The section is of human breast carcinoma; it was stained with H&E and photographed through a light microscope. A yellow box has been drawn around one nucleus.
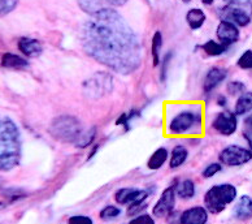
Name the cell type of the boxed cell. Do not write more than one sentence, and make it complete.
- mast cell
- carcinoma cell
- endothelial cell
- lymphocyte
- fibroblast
For cell typing purposes, the boxed cell is a lymphocyte.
